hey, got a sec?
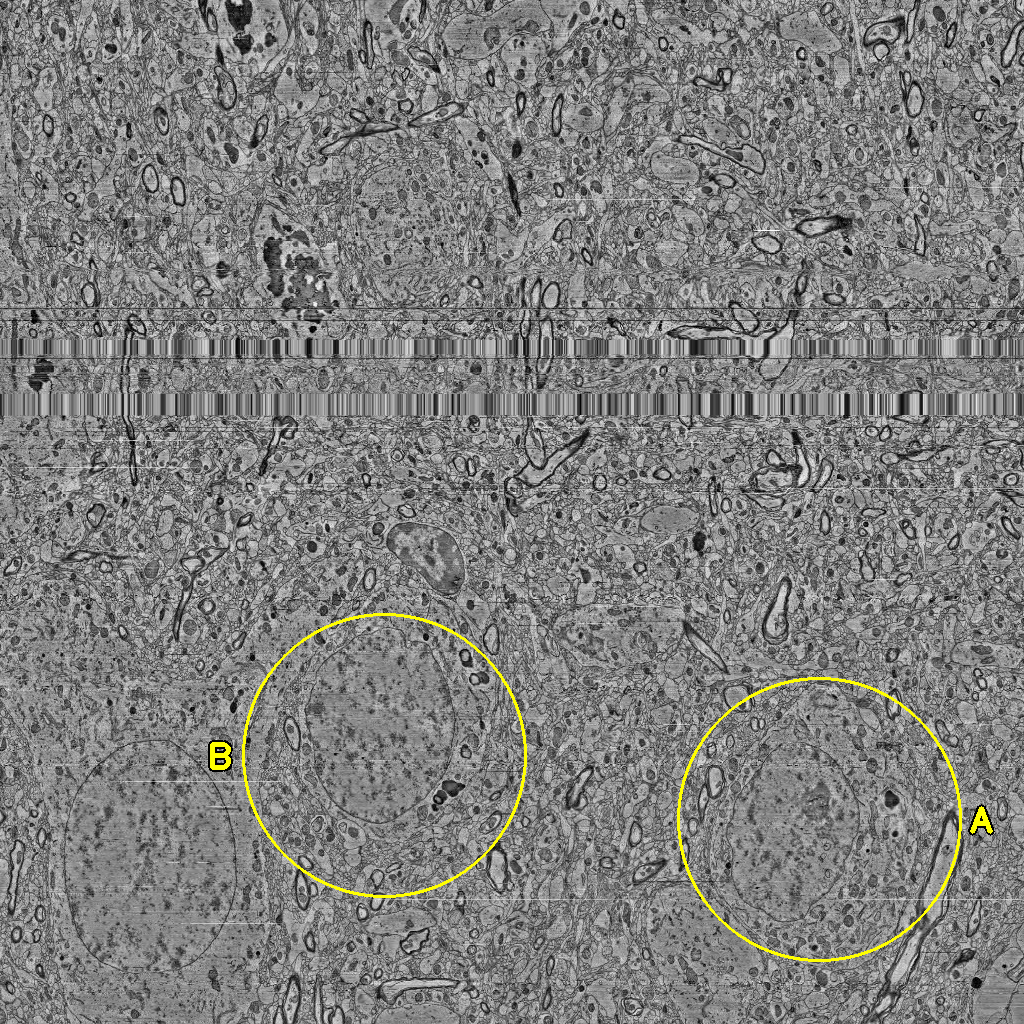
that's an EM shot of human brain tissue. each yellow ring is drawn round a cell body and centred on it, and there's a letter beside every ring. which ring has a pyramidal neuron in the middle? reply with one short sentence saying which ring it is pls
Ring B is the one centred on it.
